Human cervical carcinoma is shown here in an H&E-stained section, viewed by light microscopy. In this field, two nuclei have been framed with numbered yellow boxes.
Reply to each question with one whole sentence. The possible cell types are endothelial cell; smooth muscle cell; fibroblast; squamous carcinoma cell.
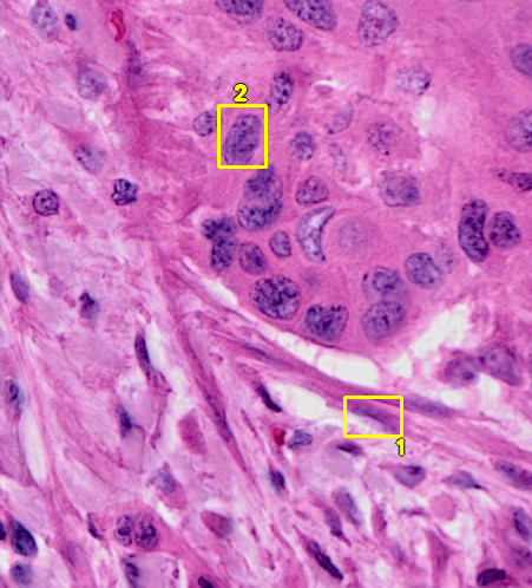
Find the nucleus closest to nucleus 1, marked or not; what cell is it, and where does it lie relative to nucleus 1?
Lying below and to the left of nucleus 1, the nearest nucleus is that of a fibroblast.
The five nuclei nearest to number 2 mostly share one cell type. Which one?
Squamous carcinoma cells account for more than half of the five nuclei nearest to number 2.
